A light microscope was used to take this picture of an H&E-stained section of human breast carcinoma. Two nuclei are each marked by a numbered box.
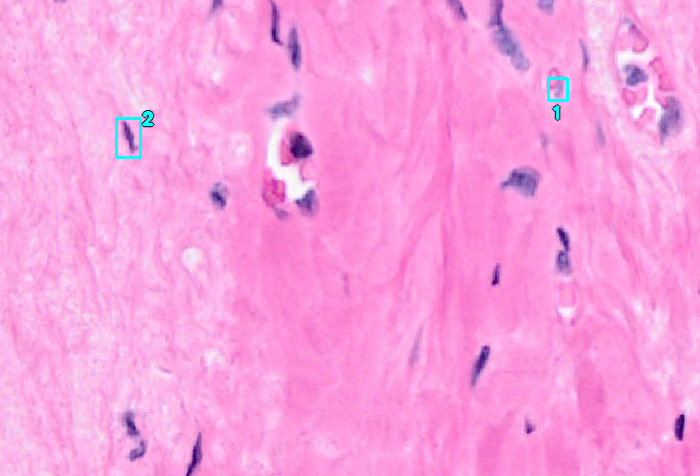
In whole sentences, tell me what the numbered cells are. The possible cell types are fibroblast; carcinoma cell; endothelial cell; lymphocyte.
Cell 1 is an endothelial cell. Cell 2 is a fibroblast.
